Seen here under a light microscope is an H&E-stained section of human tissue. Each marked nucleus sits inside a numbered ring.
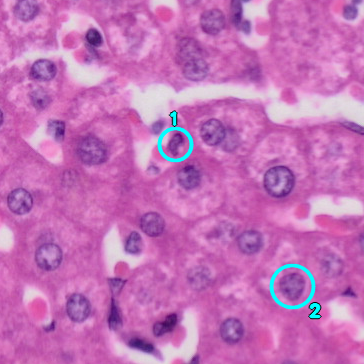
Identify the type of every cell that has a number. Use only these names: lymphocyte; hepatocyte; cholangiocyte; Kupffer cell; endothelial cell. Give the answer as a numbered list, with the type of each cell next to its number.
1. Kupffer cell
2. hepatocyte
